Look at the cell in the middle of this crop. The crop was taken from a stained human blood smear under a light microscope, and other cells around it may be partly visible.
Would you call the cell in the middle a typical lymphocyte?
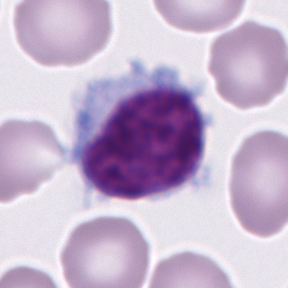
no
